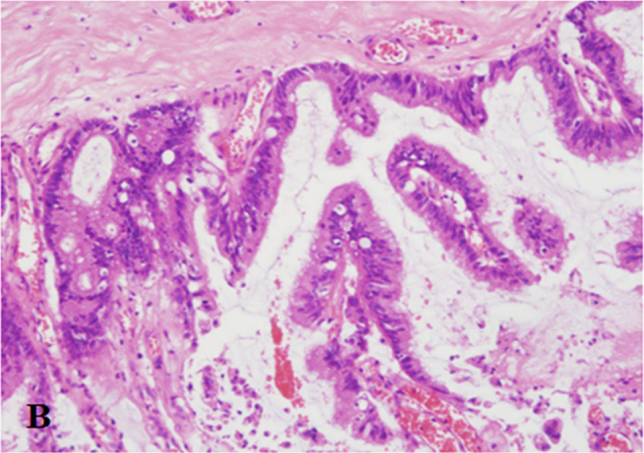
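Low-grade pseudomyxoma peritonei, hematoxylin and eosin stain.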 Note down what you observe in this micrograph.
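Here mucinous tumor epithelium forms papillary tufts floating in pale mucin beneath a band of pink fibrous tissue. The cells are columnar, with elongated purple nuclei lying mostly toward the base, and some contain small clear mucin vacuoles. The epithelium folds into finger-like projections and small gland-like spaces, with thin-walled vessels full of red blood cells nearby.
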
